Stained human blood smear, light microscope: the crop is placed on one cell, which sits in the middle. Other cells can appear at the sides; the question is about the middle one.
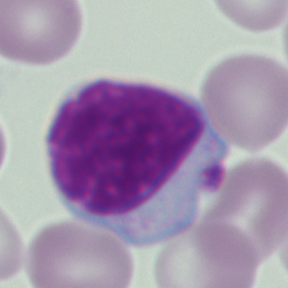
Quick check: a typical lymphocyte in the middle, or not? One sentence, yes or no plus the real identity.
No, the one in the center is not a typical lymphocyte; it is a large granular lymphocyte.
